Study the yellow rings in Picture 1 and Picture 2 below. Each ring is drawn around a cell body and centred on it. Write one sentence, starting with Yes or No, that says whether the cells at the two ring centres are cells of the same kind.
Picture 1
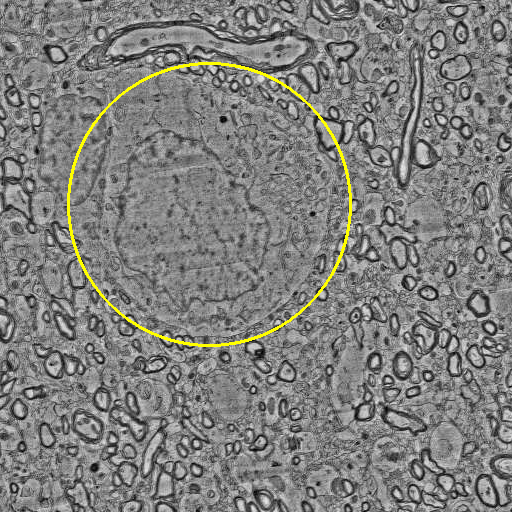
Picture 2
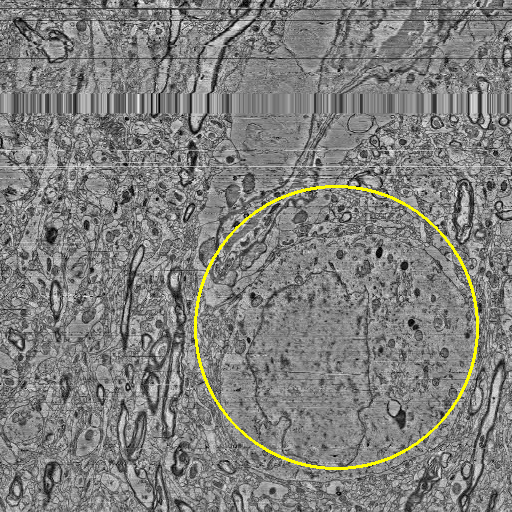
No, the cells at the ring centres are of two kinds.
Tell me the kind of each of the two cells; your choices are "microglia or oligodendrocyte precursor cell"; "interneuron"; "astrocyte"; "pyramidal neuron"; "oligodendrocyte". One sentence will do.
The ringed cell is an interneuron in the first picture and a pyramidal neuron in the second picture.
